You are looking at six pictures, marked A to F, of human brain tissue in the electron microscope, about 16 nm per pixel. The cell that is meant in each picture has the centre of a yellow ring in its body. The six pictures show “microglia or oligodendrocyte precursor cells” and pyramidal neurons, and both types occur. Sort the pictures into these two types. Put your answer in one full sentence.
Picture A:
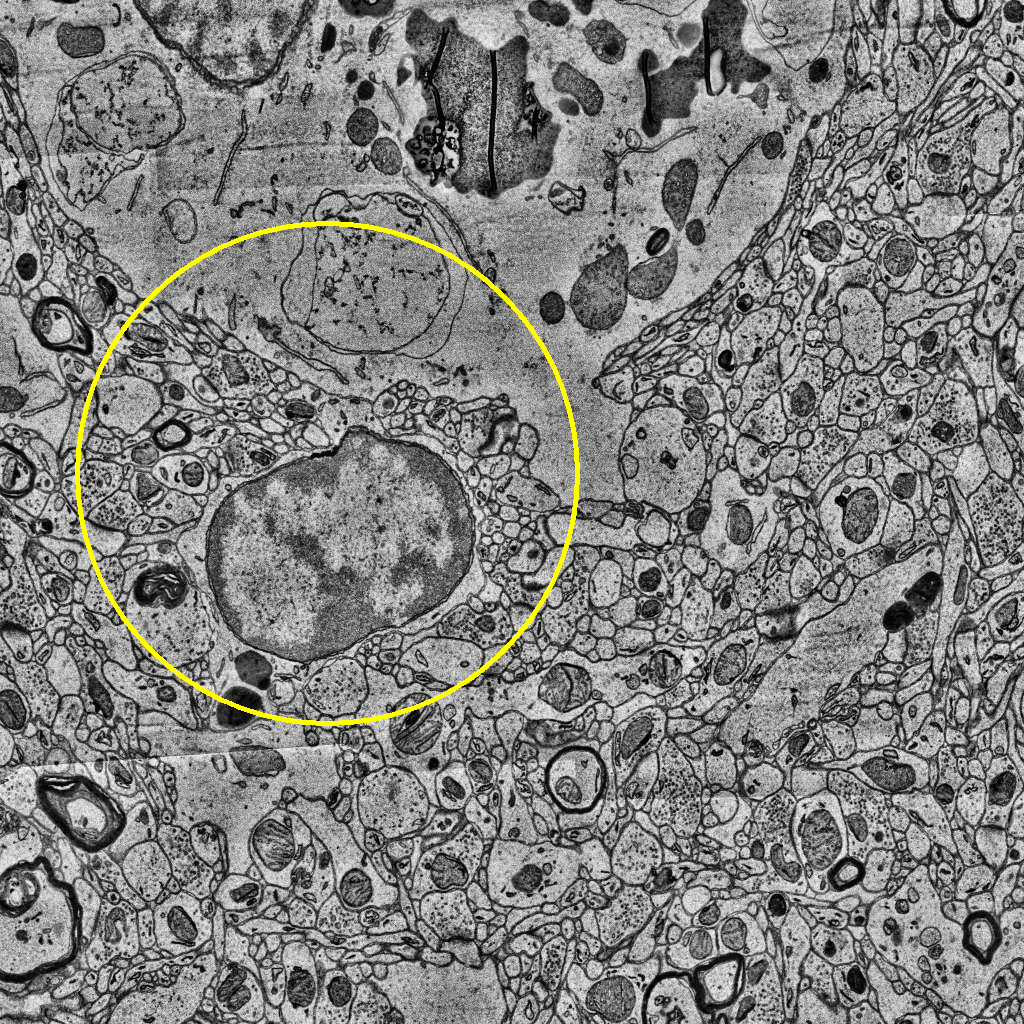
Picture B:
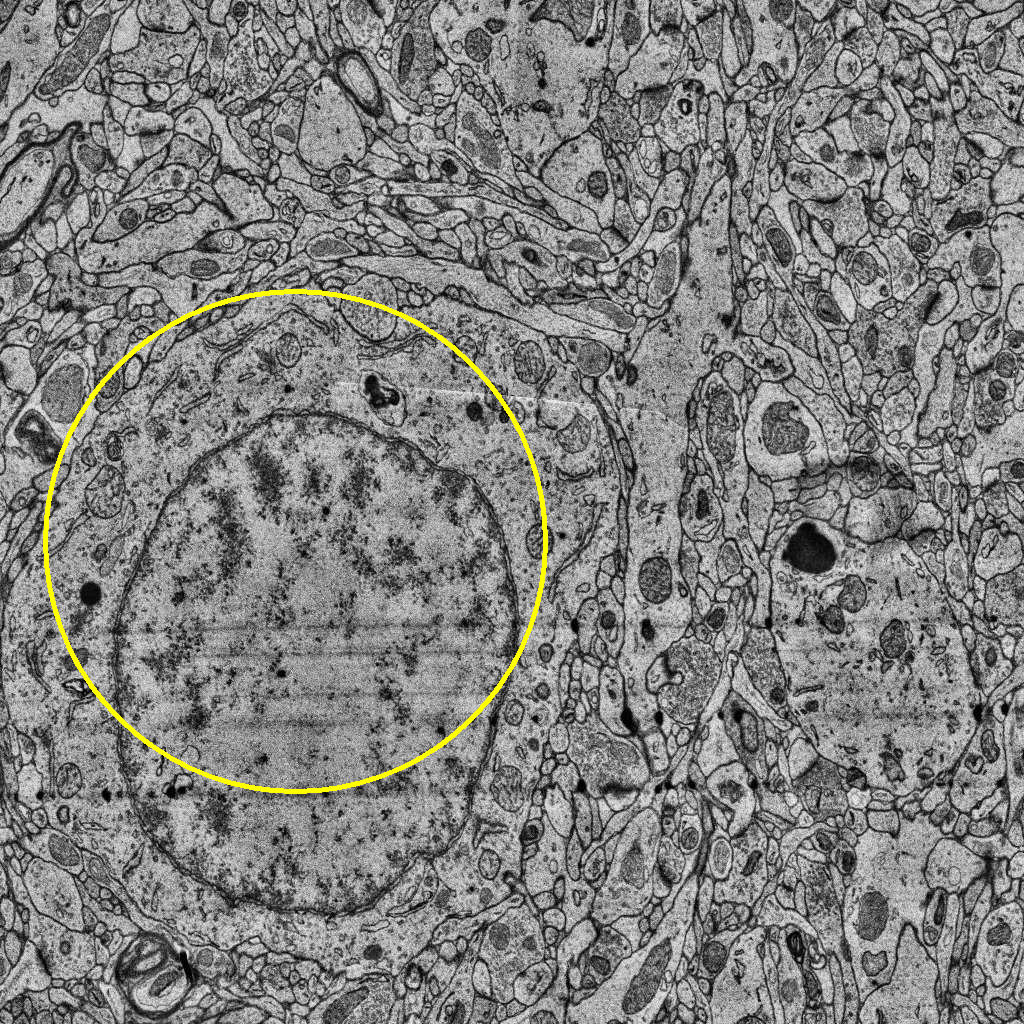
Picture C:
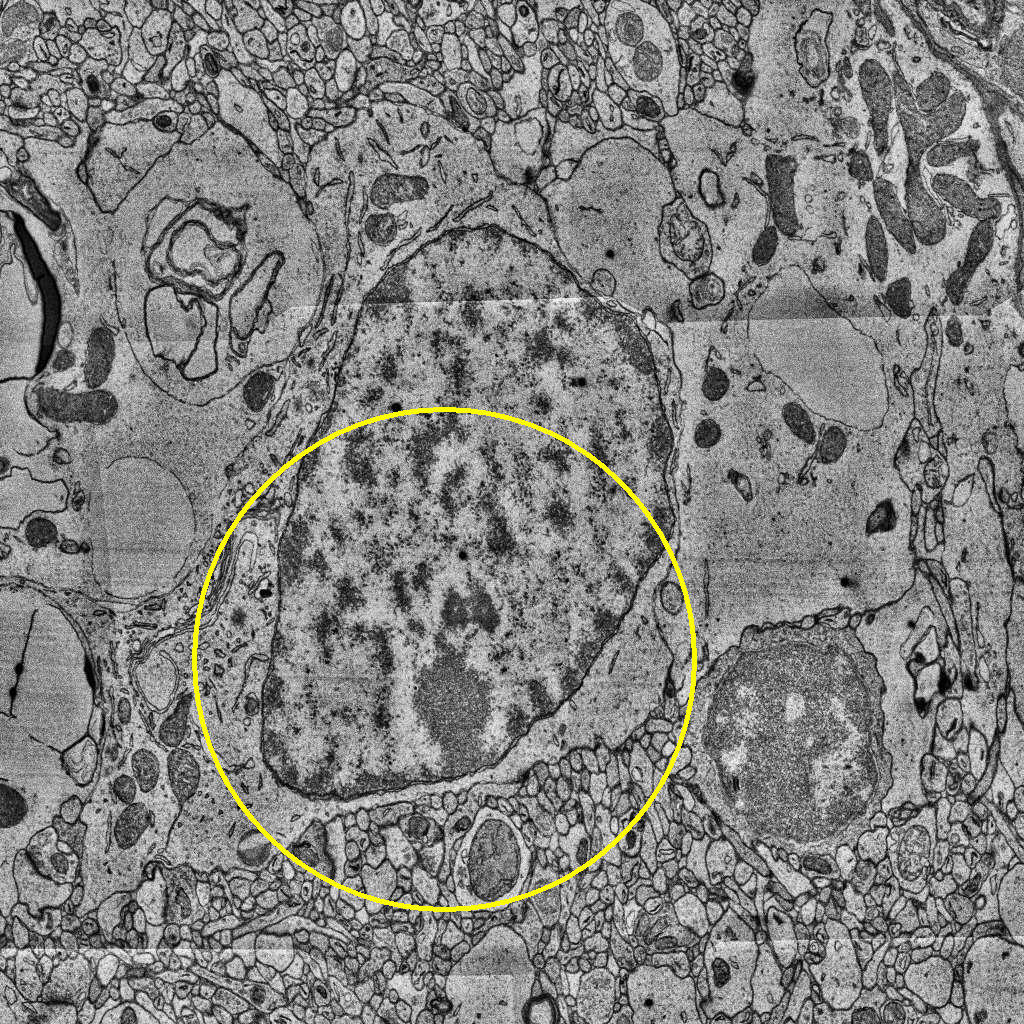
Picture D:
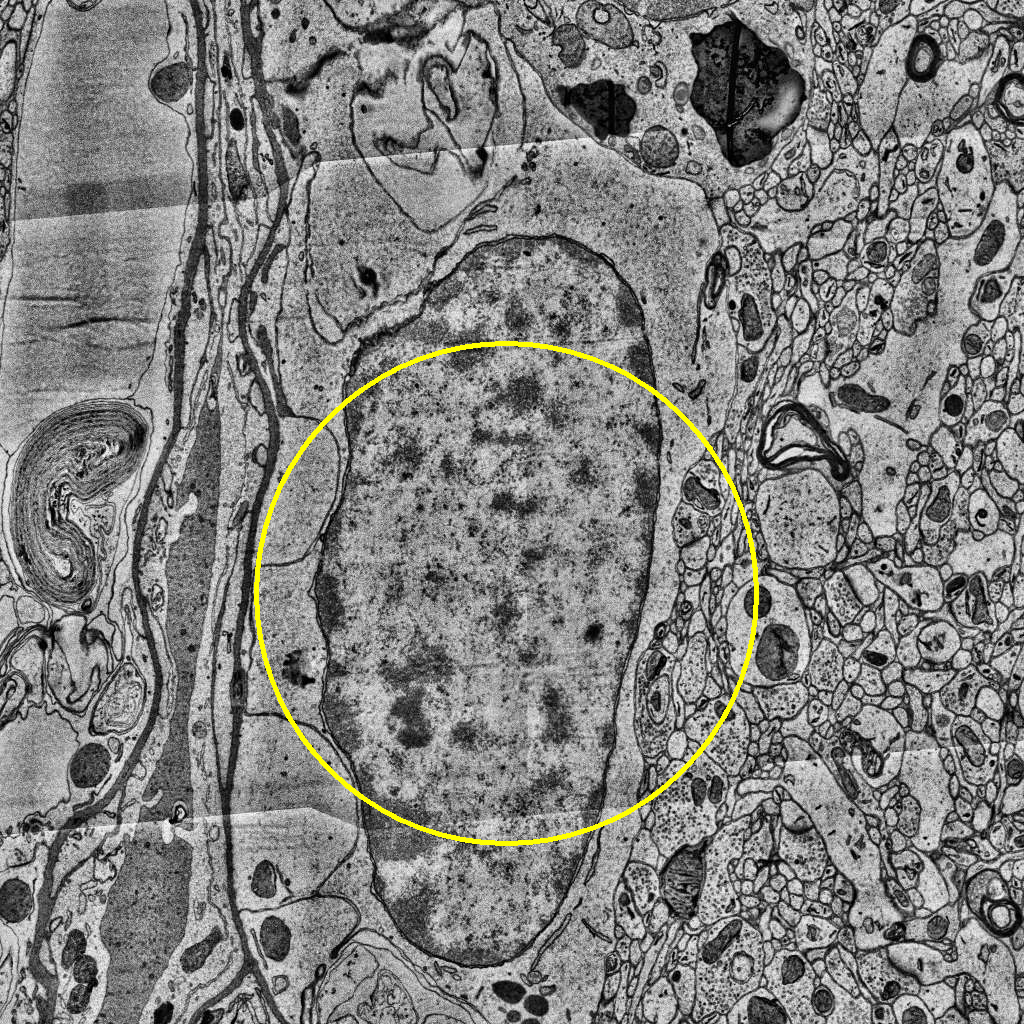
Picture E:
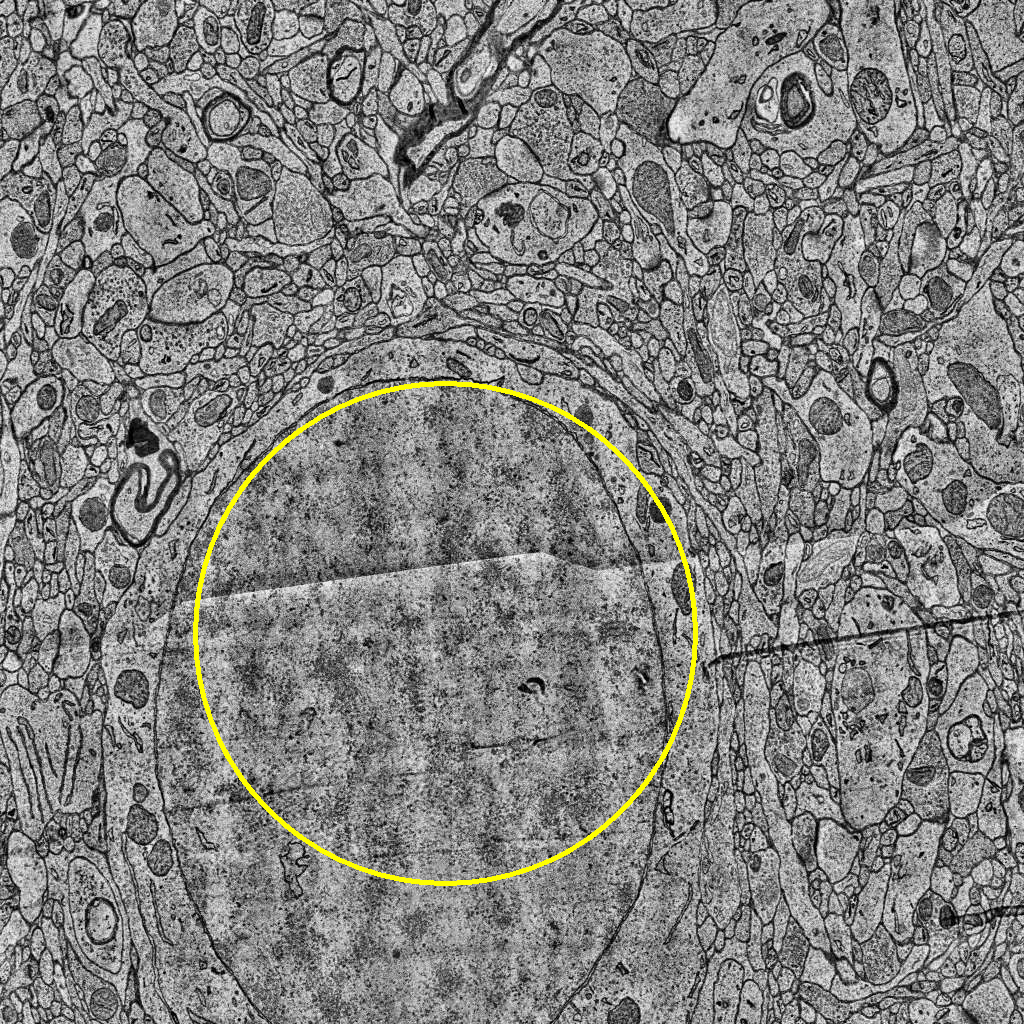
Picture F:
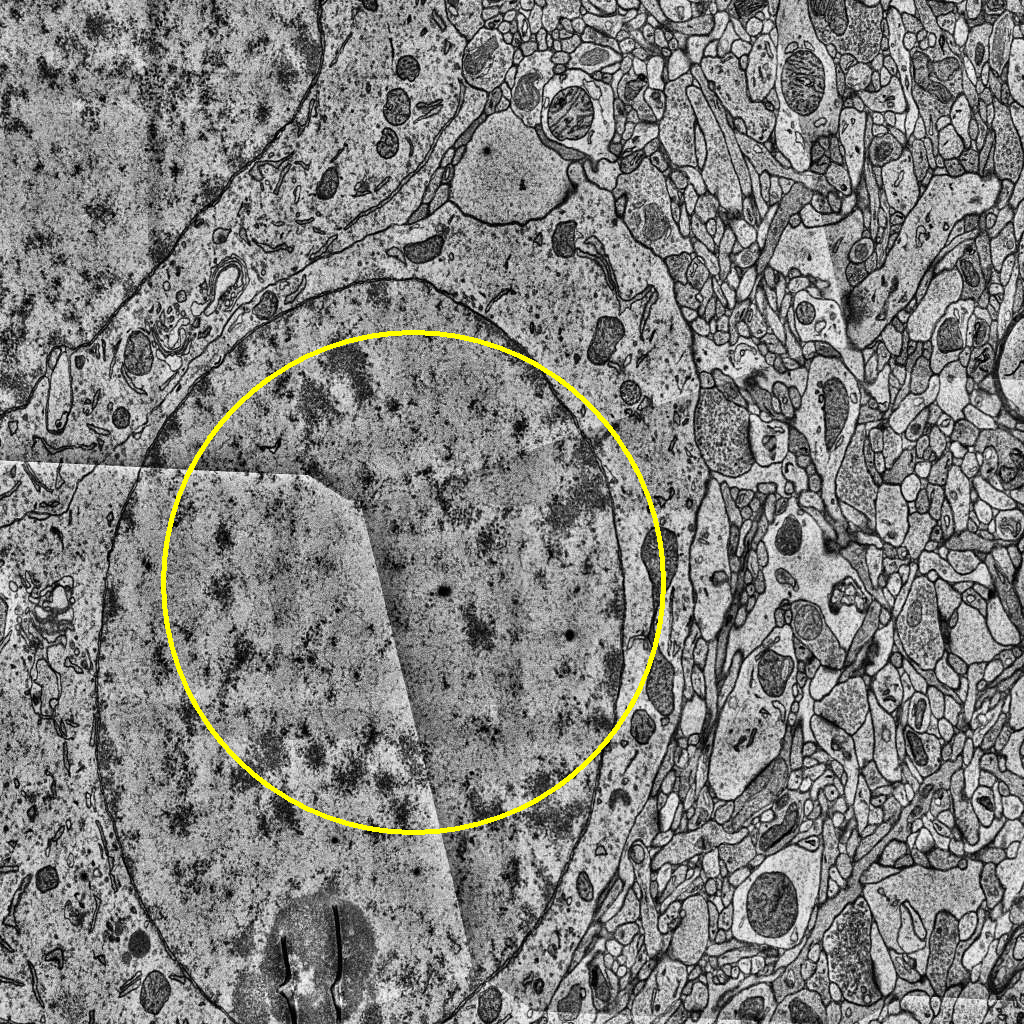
Pictures A, C and D show “microglia or oligodendrocyte precursor cells”, while pictures B, E and F show pyramidal neurons.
